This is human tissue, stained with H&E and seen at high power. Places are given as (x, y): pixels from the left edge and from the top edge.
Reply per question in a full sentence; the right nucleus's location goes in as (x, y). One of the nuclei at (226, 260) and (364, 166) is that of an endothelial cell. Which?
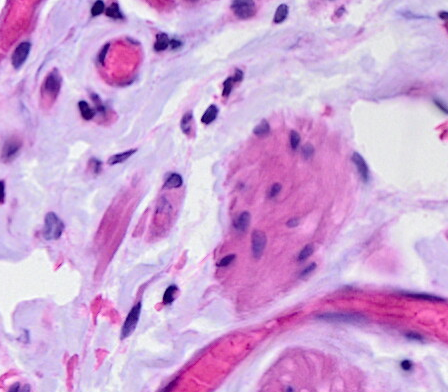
Of the pair, the nucleus positioned at (364, 166) is that of an endothelial cell.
